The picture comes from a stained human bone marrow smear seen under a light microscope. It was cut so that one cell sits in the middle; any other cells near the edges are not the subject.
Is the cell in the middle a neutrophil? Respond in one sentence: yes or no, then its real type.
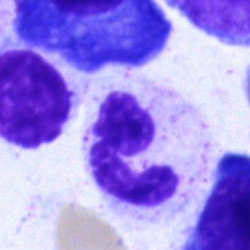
Yes, it is a neutrophil that is seen at the centre of the crop.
